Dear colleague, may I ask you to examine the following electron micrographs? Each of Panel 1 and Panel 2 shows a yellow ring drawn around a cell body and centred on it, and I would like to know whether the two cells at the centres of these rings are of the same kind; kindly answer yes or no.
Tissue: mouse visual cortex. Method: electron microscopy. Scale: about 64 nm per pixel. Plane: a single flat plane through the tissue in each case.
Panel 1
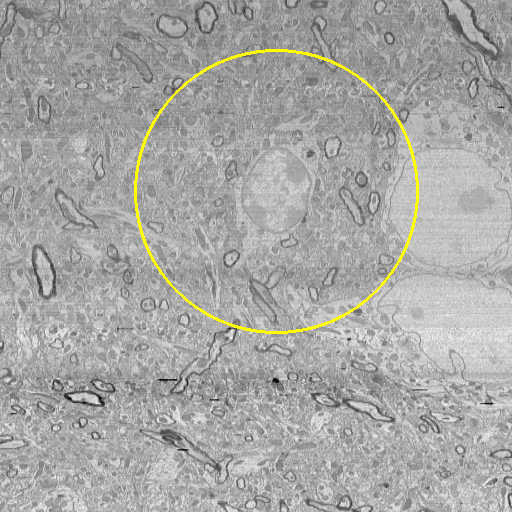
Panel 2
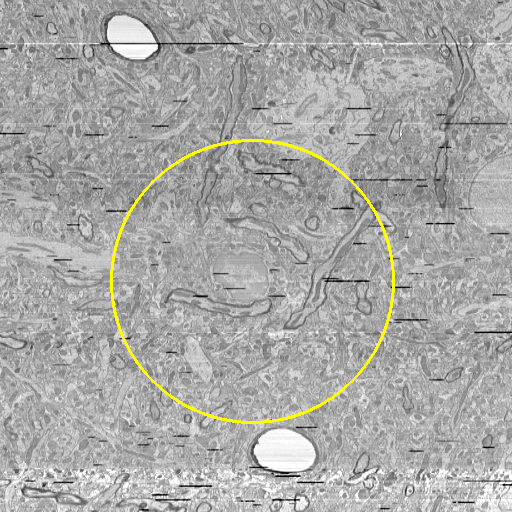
no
